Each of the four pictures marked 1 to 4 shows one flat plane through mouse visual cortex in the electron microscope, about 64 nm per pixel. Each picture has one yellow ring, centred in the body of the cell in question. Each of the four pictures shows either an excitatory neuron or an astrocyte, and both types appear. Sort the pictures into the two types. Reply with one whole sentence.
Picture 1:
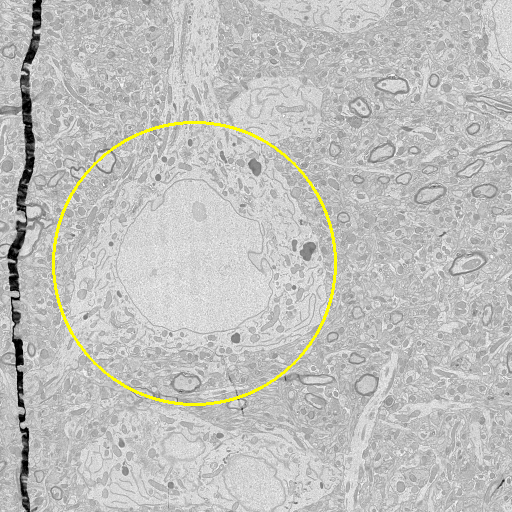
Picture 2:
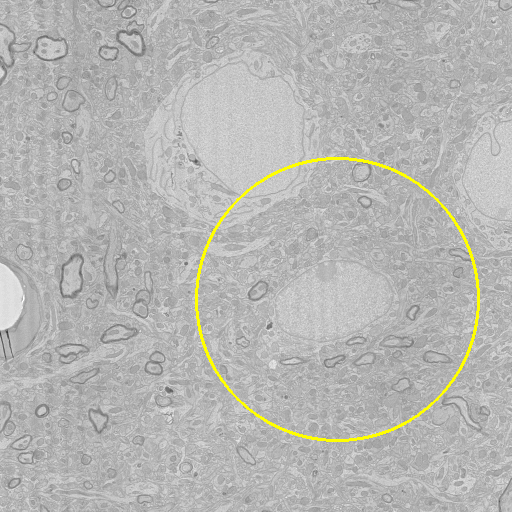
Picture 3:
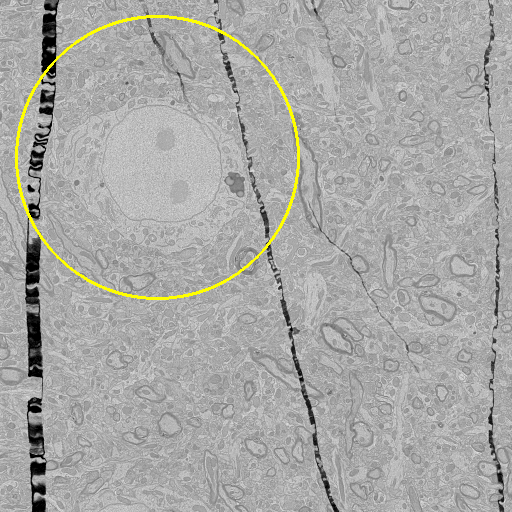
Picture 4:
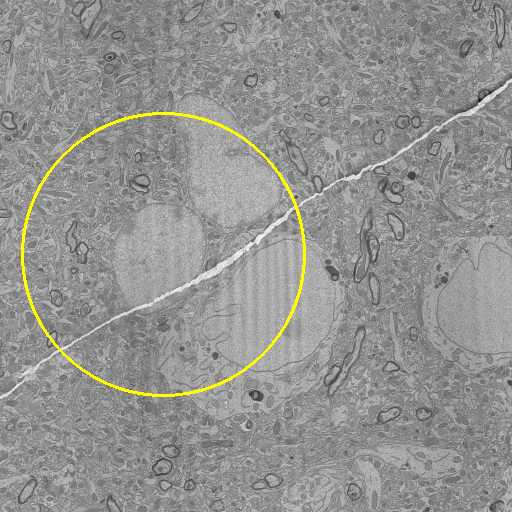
Pictures 1 and 3 show excitatory neurons, and pictures 2 and 4 show astrocytes.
